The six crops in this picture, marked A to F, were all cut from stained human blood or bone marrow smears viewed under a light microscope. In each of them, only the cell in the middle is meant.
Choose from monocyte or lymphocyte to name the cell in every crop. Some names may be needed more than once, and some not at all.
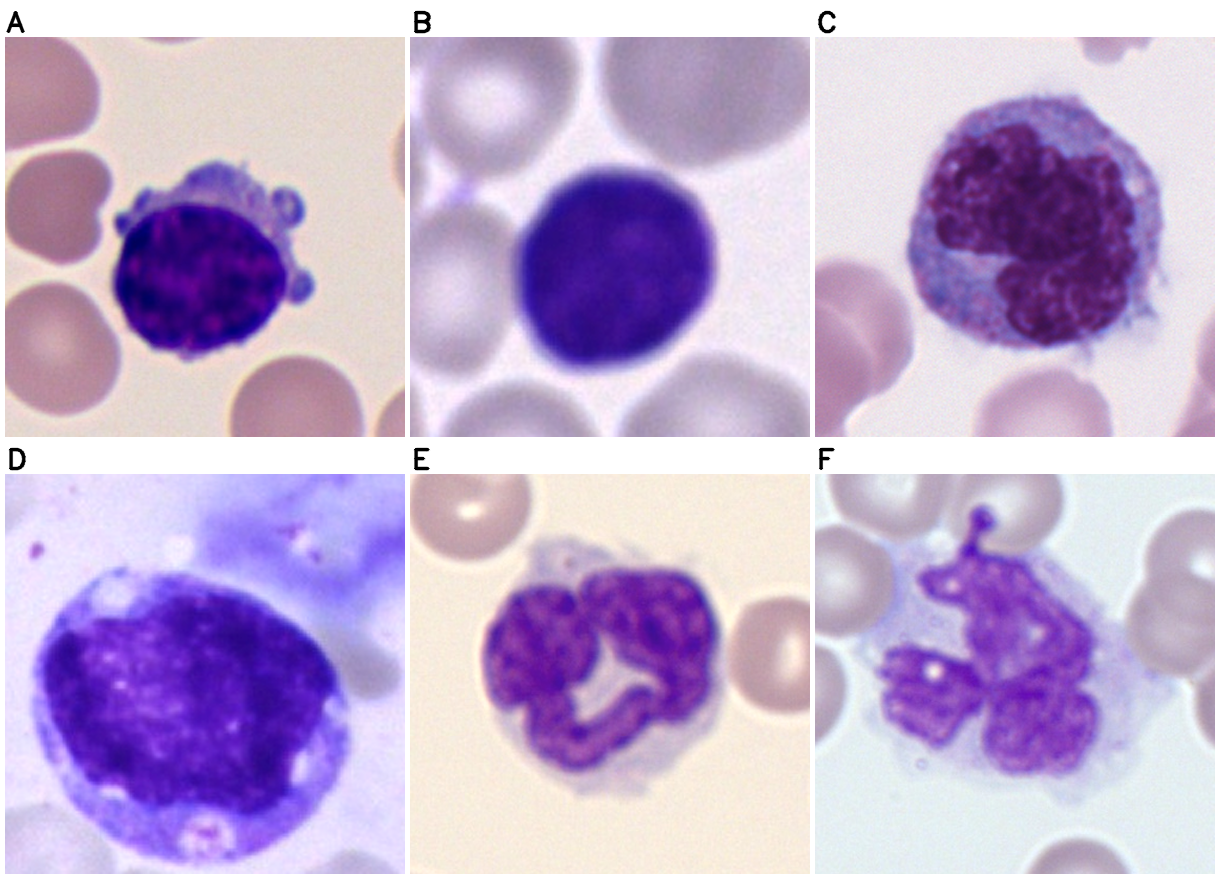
A: lymphocyte
B: lymphocyte
C: monocyte
D: monocyte
E: monocyte
F: monocyte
